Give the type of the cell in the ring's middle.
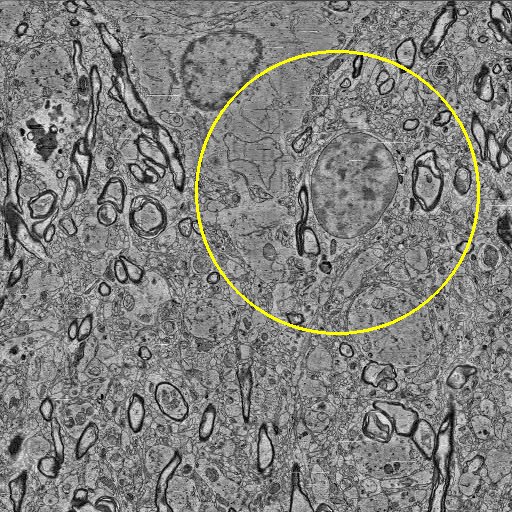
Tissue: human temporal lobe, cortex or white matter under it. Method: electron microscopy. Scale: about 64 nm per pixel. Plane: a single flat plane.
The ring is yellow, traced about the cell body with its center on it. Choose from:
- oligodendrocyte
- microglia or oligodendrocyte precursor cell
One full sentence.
Here, a microglial cell or oligodendrocyte precursor cell is the cell lying at the center of the yellow ring.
